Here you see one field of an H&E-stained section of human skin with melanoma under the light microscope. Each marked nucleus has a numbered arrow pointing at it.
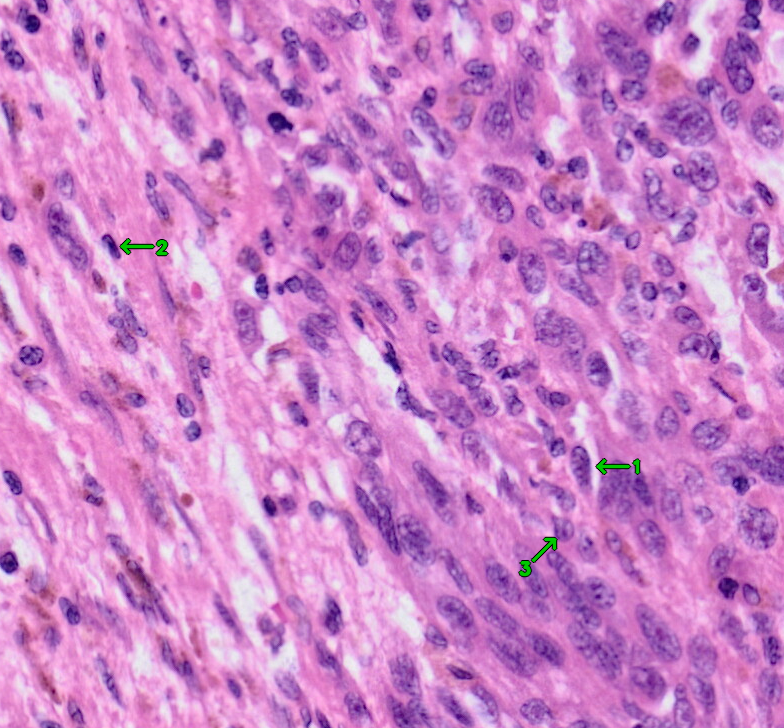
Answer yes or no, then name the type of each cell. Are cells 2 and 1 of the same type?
No, cell 2 is classed as a lymphocyte and cell 1 as a melanoma cell.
